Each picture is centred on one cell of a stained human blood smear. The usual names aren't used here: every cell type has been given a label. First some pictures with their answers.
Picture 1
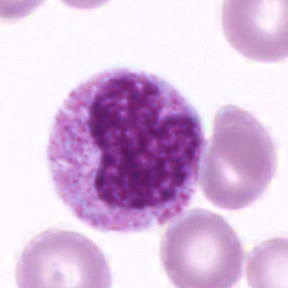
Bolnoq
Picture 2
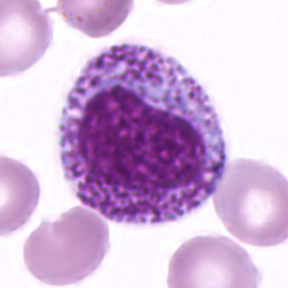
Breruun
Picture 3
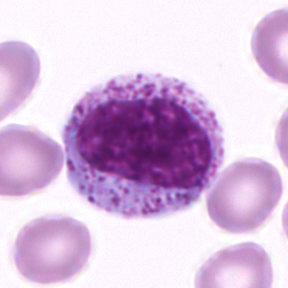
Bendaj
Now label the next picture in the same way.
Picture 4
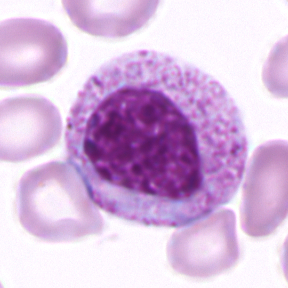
Breruun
